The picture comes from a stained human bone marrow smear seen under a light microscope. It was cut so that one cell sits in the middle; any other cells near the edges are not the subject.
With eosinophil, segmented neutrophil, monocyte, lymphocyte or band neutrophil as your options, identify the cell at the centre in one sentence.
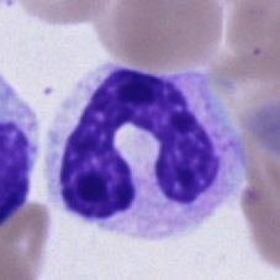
Framed in the middle of the crop is a band neutrophil.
